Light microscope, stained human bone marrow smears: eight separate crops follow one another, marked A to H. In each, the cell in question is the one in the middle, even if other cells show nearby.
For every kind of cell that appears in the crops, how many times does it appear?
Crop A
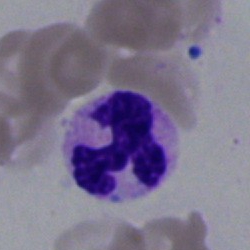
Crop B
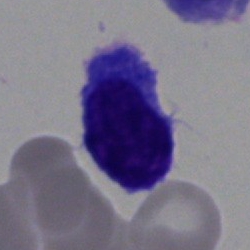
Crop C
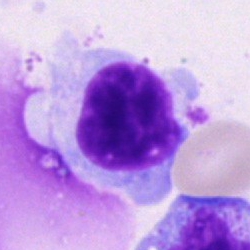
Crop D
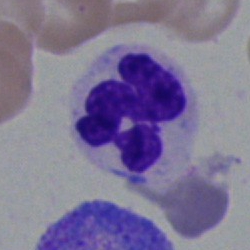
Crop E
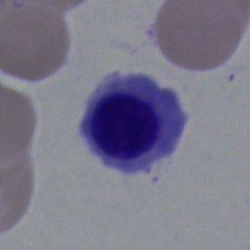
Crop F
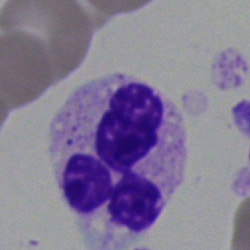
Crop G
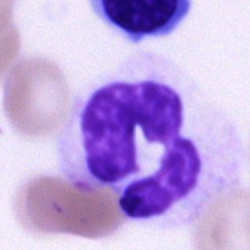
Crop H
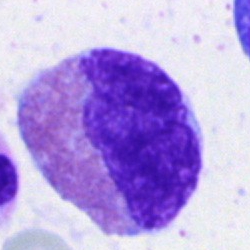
segmented neutrophil: 4
lymphocyte: 2
erythroblast: 1
eosinophil: 1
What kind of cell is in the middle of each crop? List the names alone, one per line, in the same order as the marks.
segmented neutrophil
lymphocyte
lymphocyte
segmented neutrophil
erythroblast
segmented neutrophil
segmented neutrophil
eosinophil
